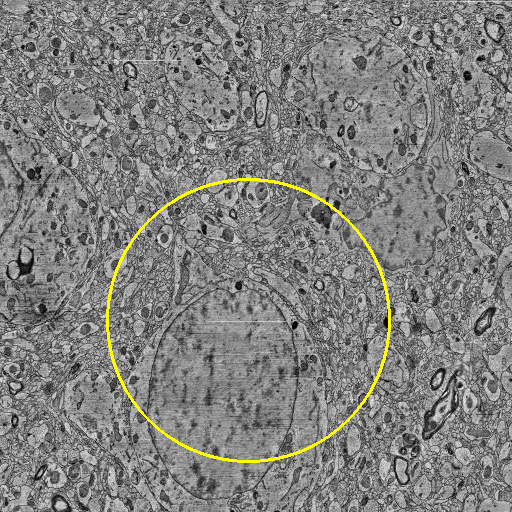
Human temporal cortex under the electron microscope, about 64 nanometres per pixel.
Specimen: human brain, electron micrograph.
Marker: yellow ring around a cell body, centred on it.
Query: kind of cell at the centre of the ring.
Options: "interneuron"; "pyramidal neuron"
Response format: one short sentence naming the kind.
This cell body belongs to a pyramidal neuron.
